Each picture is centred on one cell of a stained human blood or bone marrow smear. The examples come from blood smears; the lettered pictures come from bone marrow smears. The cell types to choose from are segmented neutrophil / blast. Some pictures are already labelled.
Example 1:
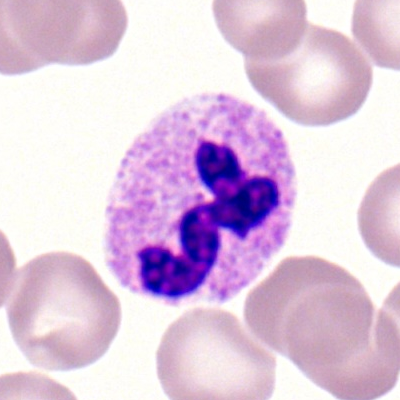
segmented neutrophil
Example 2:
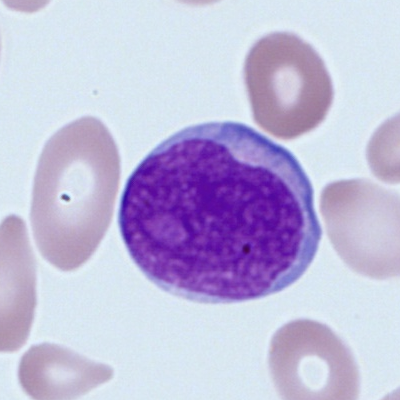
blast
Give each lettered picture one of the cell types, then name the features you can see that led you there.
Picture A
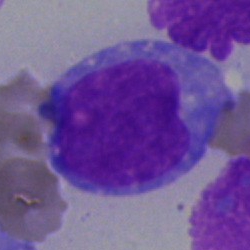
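blast. Evidence: The nucleus fills most of the cell.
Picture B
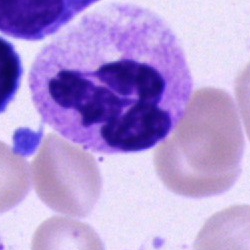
segmented neutrophil. Evidence: Fine purplish granules are scattered throughout the cytoplasm.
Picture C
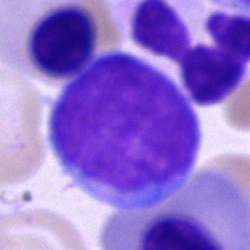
blast. Evidence: The chromatin is fine and evenly dispersed rather than clumped.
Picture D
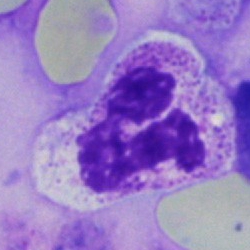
segmented neutrophil. Evidence: The chromatin is dense, dark purple and coarsely clumped.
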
